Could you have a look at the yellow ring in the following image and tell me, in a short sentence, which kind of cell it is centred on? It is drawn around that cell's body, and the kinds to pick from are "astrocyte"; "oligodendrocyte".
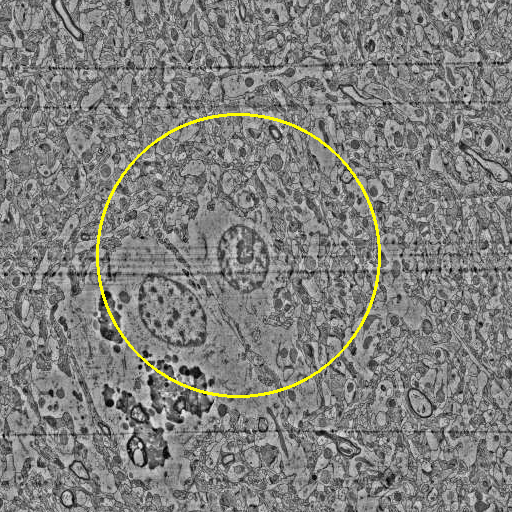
The ring is centred on the body of an astrocyte.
